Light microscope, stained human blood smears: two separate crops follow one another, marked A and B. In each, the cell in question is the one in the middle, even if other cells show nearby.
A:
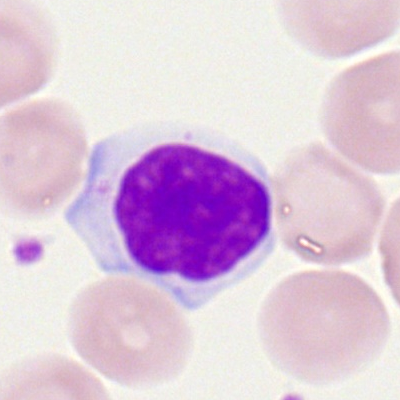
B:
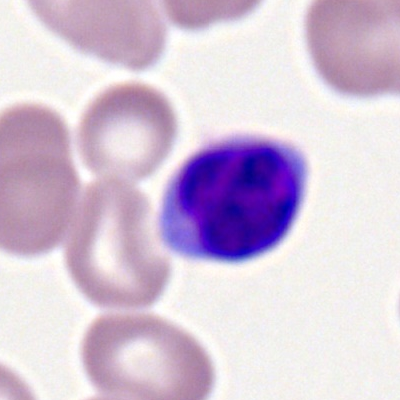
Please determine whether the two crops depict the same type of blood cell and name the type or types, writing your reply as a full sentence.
Yes, the cells that the two crops centre on are lymphocytes.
